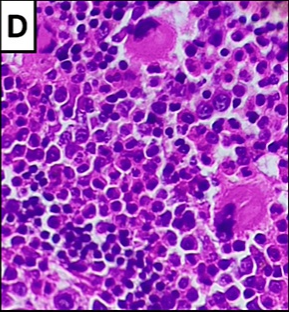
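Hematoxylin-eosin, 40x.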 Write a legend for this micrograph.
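Hematopoietic tissue is densely packed with a mixed population of marrow-type cells. Many small round cells with dark, dense nuclei form clusters, and they lie among other cells with paler, more open nuclei and some pink cytoplasm. Two very large cells with abundant pink cytoplasm and large lobulated nuclei stand out among them as megakaryocytes.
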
